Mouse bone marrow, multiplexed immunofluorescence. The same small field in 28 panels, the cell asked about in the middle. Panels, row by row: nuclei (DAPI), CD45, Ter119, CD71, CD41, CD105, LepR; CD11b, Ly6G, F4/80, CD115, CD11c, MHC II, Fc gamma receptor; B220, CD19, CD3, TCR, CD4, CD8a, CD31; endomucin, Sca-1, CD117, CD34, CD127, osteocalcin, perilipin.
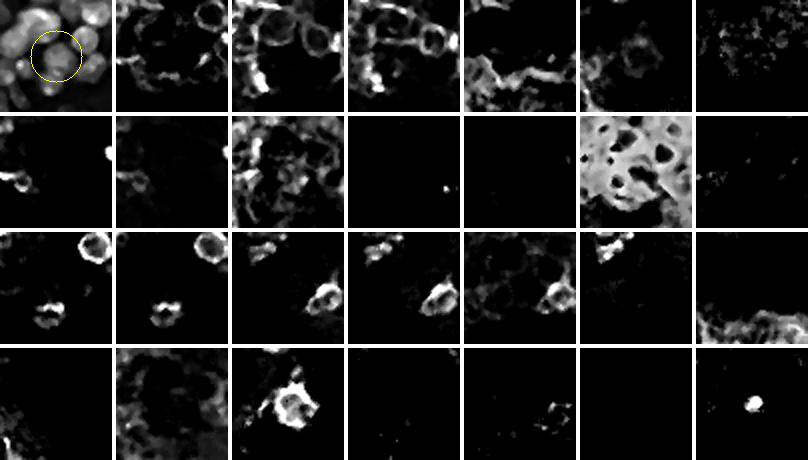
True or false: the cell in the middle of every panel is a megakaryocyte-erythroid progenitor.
True.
